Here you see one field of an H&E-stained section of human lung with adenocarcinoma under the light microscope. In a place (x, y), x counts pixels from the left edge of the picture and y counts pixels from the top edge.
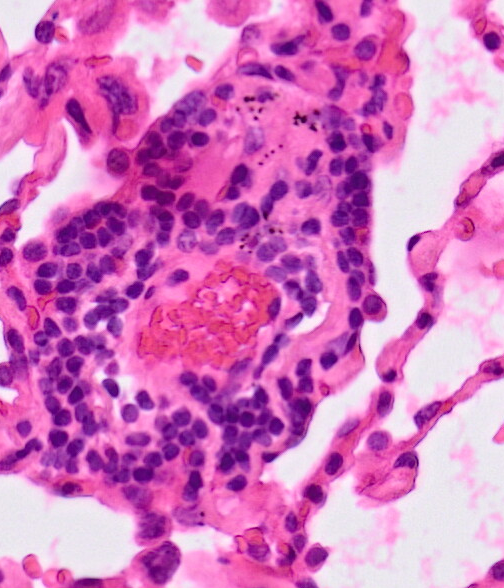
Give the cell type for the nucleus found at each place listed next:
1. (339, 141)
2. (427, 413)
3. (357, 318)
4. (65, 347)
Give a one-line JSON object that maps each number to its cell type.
{"1": "lymphocyte", "2": "type I pneumocyte", "3": "lymphocyte", "4": "lymphocyte"}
